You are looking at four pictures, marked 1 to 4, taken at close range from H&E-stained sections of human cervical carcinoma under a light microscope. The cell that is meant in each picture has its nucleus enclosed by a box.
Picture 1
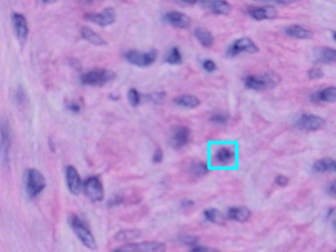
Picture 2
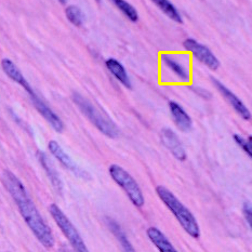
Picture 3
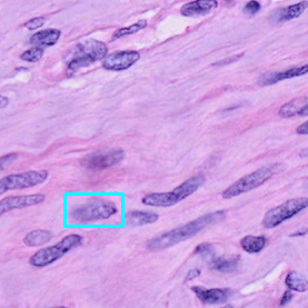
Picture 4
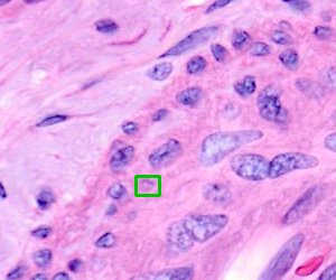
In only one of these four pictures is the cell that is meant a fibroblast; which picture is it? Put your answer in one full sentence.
The fibroblast is the one in picture 2.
